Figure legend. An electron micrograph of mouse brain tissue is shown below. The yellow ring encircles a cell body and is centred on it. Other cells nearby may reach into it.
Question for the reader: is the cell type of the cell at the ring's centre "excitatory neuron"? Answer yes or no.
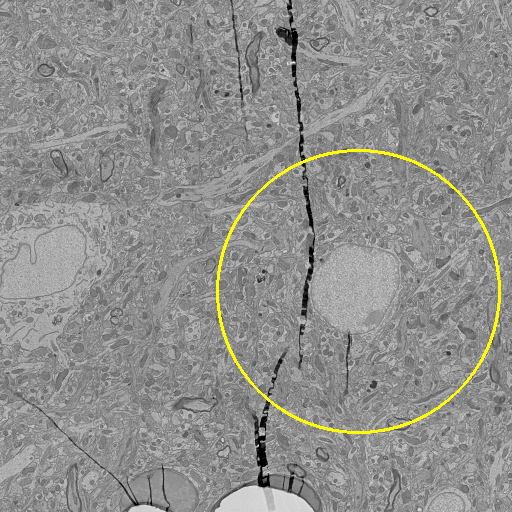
no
